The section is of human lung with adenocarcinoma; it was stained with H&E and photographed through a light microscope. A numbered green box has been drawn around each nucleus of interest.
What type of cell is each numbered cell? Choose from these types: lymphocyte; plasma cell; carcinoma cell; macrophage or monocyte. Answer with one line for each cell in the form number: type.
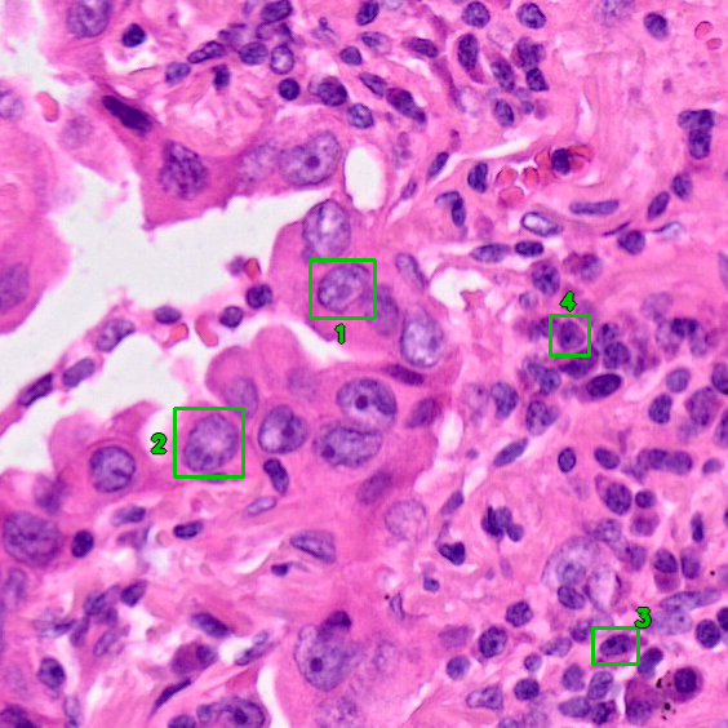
1: carcinoma cell
2: carcinoma cell
3: plasma cell
4: lymphocyte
